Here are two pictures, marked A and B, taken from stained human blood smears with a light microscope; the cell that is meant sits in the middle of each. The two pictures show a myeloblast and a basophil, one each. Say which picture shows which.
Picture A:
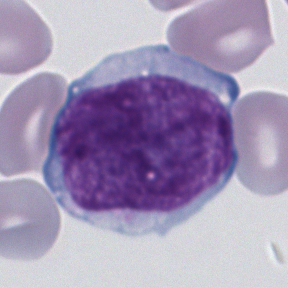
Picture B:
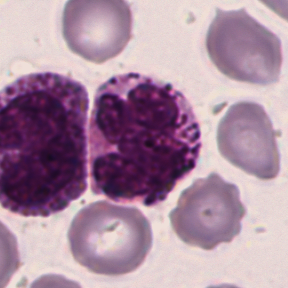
A: myeloblast
B: basophil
